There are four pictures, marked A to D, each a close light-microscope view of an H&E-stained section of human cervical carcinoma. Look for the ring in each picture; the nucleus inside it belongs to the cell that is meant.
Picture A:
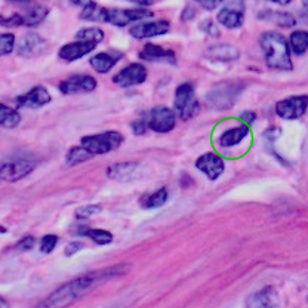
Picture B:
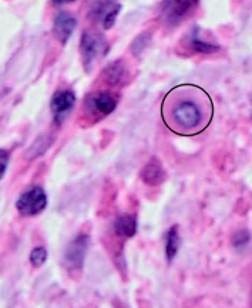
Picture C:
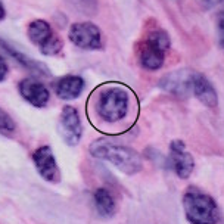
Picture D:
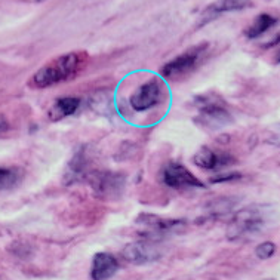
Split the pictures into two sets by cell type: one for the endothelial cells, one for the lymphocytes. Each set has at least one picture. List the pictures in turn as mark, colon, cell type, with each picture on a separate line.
A: lymphocyte
B: endothelial cell
C: lymphocyte
D: lymphocyte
